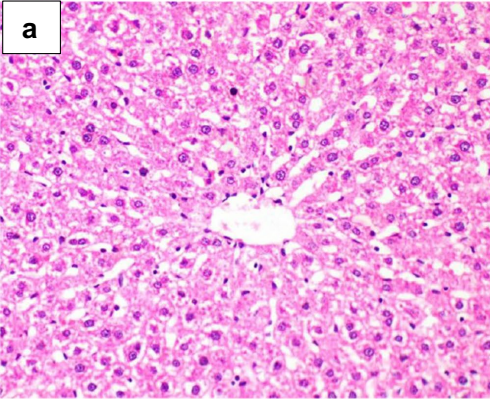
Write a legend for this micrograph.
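This is liver tissue with a central vein in the middle, from which cords of hepatocytes radiate outward in a regular pattern. The hepatocytes are polygonal with pale pink, slightly granular cytoplasm and round, centrally placed nuclei with visible nucleoli; some cells appear binucleate. Narrow sinusoids run between the cords, lined by small, flattened, dark nuclei. The central vein is empty and has a thin wall. Only mild changes are present, with slight cytoplasmic pallor, and the overall lobular architecture is preserved.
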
